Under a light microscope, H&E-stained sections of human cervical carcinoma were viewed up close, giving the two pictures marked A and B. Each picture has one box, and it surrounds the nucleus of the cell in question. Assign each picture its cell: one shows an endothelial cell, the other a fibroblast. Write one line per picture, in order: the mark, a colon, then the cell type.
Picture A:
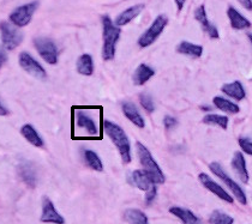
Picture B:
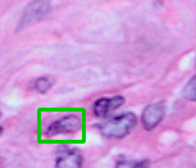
A: fibroblast
B: endothelial cell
